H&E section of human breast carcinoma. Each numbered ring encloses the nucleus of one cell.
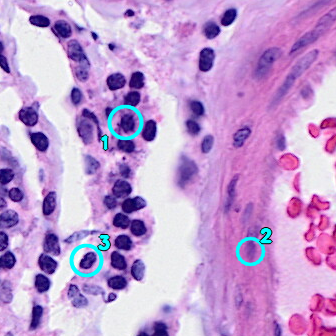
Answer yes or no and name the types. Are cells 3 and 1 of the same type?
Yes, it is as lymphocytes that cells 3 and 1 are both classified.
